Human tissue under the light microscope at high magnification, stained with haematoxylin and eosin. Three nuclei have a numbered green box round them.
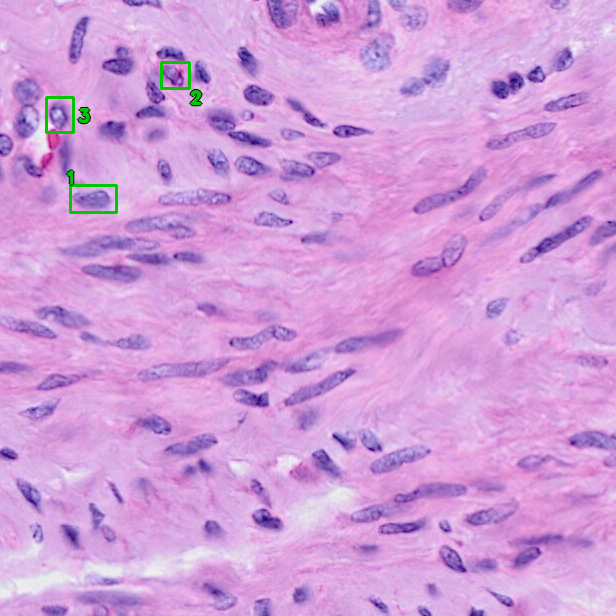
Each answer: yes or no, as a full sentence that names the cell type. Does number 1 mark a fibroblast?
Yes, cell 1 is a fibroblast in this tissue section.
